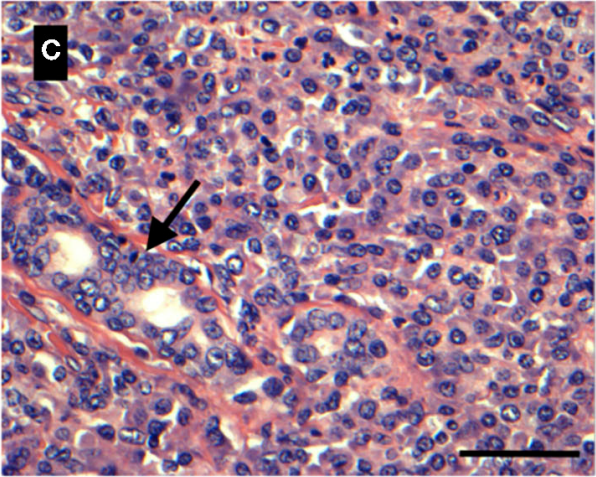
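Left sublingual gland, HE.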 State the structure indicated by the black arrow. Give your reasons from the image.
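Ductal structures. The arrow points to cells lining round open lumina. The lumina are small, clear and rounded, set within pink fibrous strands.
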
